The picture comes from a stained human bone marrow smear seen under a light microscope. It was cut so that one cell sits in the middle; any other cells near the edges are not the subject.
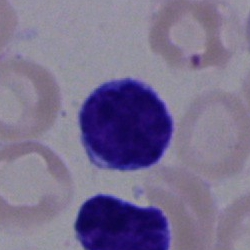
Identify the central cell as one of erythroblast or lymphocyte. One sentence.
In the central position of this crop, the cell is a lymphocyte.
